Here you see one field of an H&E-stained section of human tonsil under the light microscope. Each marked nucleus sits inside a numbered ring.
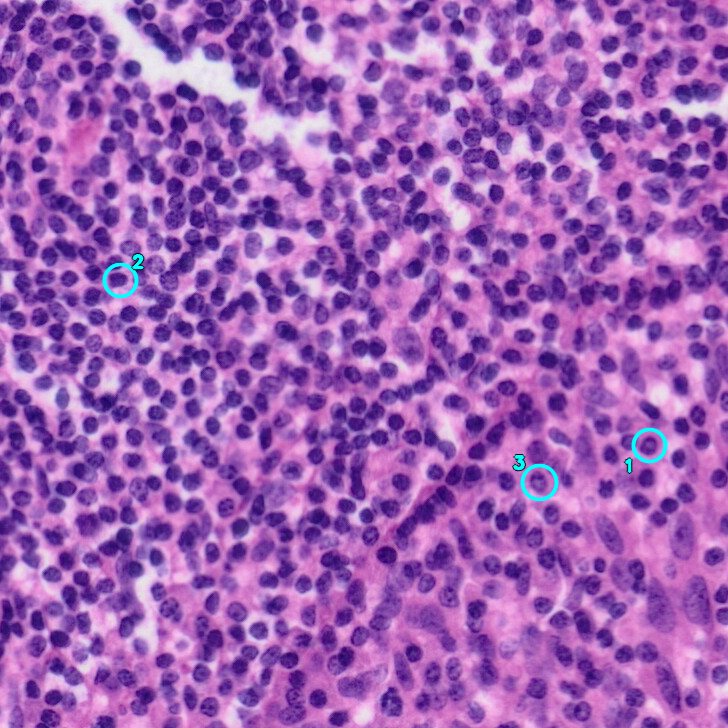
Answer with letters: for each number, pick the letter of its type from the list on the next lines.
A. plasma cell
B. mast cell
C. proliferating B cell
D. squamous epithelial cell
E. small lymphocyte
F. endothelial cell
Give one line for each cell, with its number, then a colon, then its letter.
1: A
2: E
3: A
